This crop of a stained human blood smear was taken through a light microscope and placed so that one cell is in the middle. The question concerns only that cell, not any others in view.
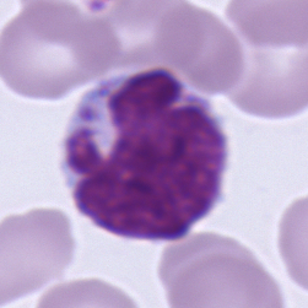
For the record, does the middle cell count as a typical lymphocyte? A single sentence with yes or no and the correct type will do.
Yes, the cell that the crop is centred on is a typical lymphocyte.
